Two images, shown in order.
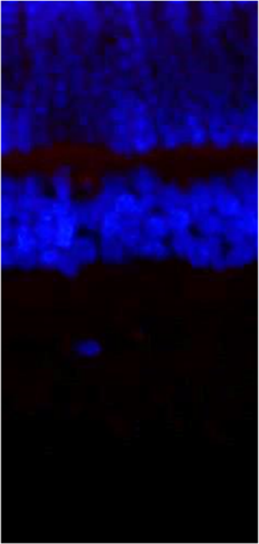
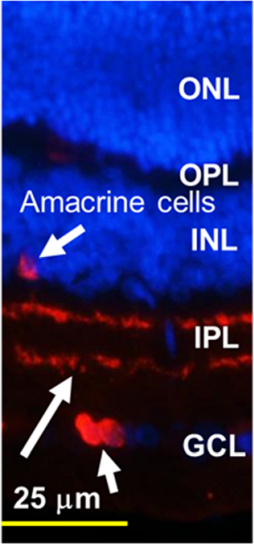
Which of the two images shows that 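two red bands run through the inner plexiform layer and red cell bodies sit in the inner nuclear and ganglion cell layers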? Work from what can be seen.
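The second image. Second image: two distinct thin red bands cross the inner plexiform layer, and red cell bodies lie at the inner edge of the inner nuclear layer and in the ganglion cell layer. First image: the inner plexiform layer is dark with no clear red bands, and no red cell bodies are seen.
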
